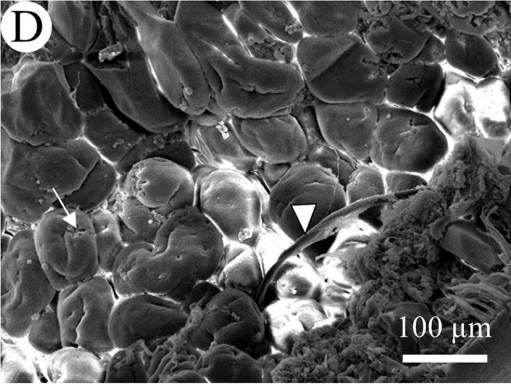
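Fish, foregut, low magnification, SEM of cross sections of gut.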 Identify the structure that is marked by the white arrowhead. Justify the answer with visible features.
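Fiber. A long, thin, smooth curved filament lies among the rounded folds. The filament is far longer and narrower than any surrounding structure.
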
